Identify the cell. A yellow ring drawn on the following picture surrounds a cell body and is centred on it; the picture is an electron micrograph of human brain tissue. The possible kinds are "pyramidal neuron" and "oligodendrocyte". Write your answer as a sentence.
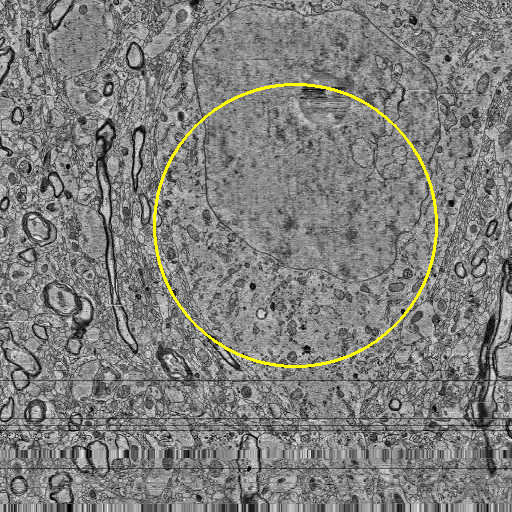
The cell identified by the ring is a pyramidal neuron.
